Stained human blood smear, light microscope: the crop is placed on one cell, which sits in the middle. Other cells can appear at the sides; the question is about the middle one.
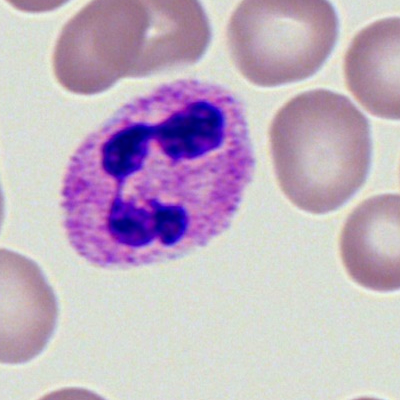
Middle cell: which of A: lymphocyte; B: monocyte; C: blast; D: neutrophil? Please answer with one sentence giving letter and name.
Option D is the correct option, with the middle cell being a neutrophil.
